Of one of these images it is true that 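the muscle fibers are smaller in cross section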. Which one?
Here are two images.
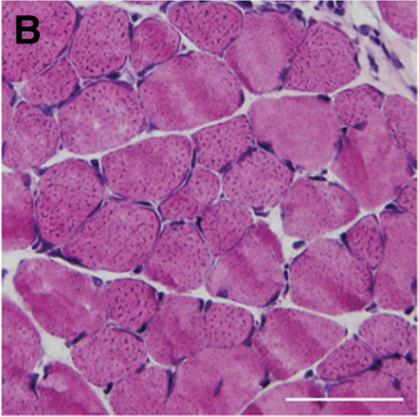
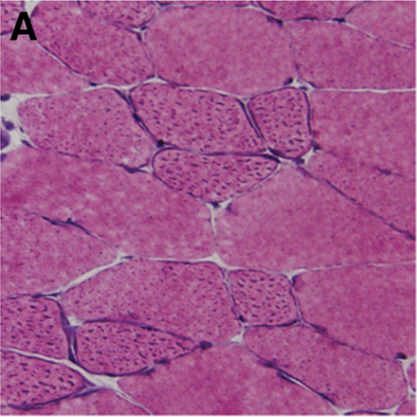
The first image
